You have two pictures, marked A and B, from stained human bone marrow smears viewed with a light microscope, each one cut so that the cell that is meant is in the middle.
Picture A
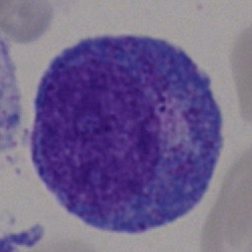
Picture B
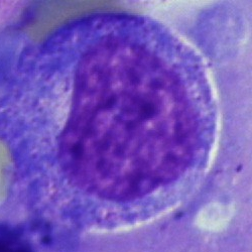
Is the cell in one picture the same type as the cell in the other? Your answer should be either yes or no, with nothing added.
yes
